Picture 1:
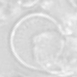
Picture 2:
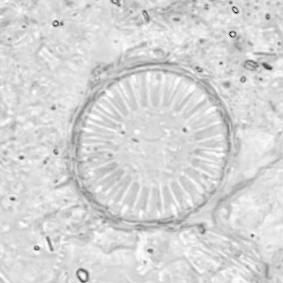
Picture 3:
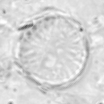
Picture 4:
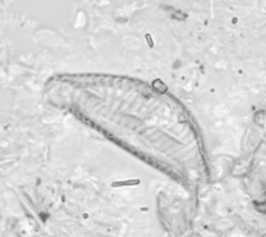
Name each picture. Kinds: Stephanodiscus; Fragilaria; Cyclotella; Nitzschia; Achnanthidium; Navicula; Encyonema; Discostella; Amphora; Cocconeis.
1. Stephanodiscus
2. Cyclotella
3. Stephanodiscus
4. Encyonema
